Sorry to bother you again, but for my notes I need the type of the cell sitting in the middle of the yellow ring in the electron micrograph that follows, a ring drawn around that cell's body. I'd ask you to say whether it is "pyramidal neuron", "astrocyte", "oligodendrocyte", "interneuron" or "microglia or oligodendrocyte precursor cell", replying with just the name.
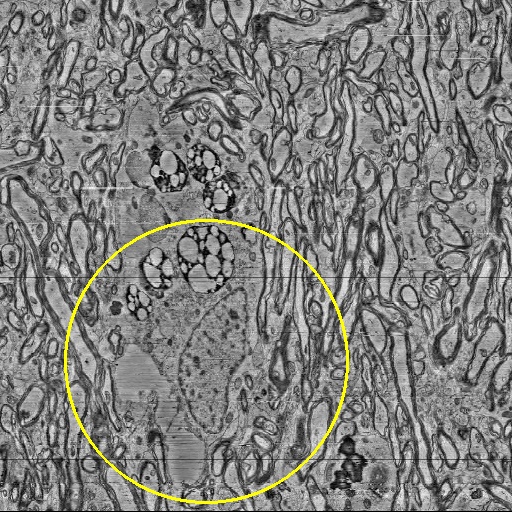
astrocyte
